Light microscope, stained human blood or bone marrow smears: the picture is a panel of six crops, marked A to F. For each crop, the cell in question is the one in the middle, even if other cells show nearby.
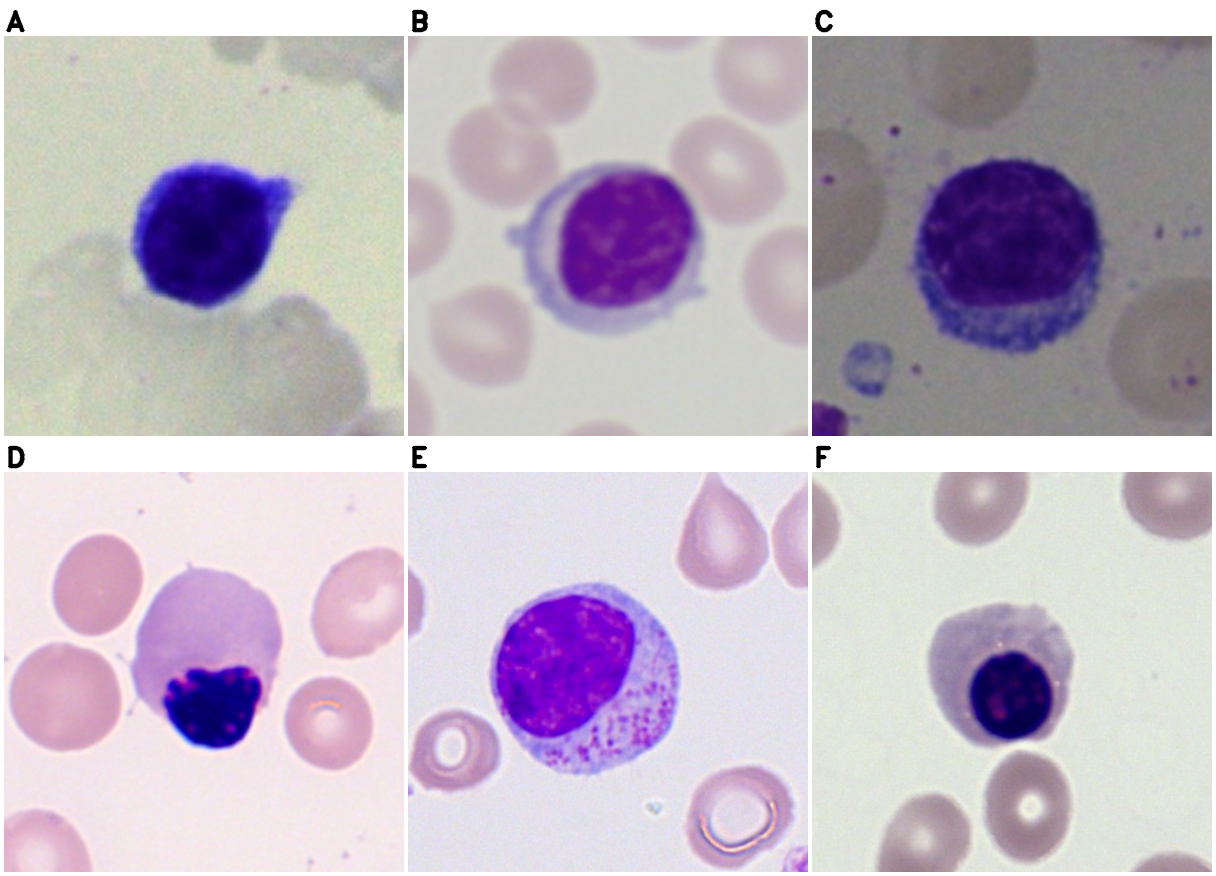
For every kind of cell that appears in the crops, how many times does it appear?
lymphocyte: 4
erythroblast: 2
